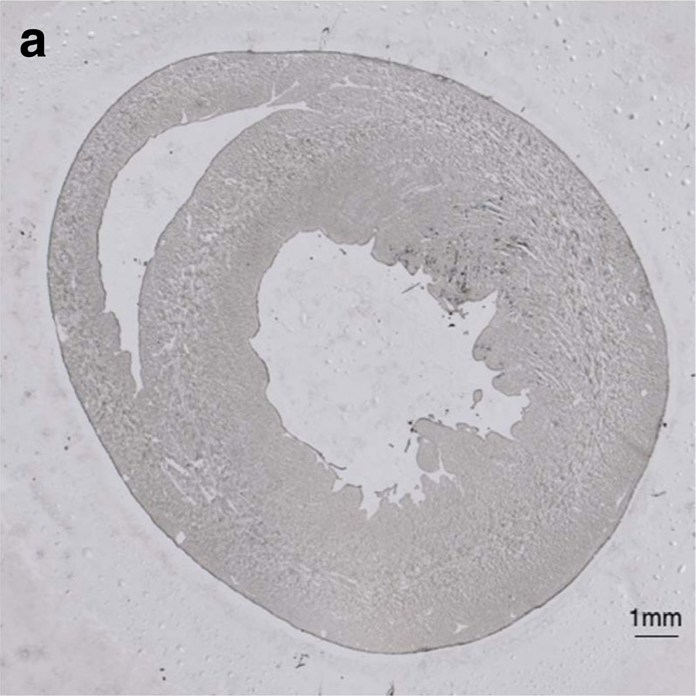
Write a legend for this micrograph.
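This is a whole transverse slice of a heart seen at low power, pale grey without strong colour. A thick ring of muscle surrounds a large, irregular central cavity whose inner edge is ragged with small projections of muscle. On the left, a thinner crescent of wall encloses a narrow, curved slit-like cavity. The muscle has a finely streaked texture, showing bundles of fibres running in different directions, with small pale clefts scattered through it. Near the upper right edge of the central cavity there is a patch of darker flecks within the muscle, standing out from the even grey elsewhere.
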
